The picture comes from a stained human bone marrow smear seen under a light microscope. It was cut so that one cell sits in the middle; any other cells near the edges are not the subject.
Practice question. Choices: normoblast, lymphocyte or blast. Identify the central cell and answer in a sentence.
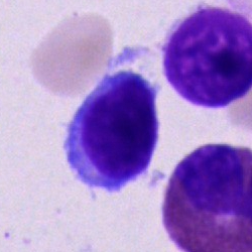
The cell found in the middle of this crop is a lymphocyte.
